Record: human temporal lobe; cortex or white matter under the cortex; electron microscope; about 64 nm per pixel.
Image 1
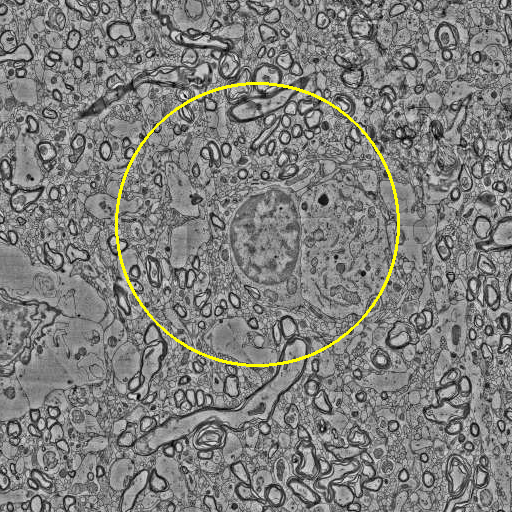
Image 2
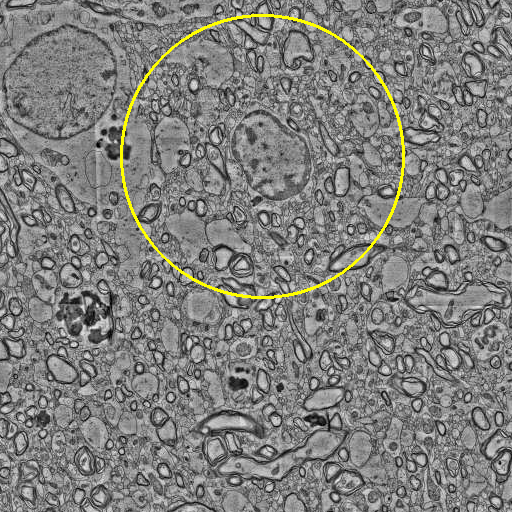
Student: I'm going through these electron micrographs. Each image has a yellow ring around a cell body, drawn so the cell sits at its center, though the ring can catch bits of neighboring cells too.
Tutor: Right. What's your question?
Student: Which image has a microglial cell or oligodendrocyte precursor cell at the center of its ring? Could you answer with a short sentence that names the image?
Image 2 shows it at the center of its ring.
